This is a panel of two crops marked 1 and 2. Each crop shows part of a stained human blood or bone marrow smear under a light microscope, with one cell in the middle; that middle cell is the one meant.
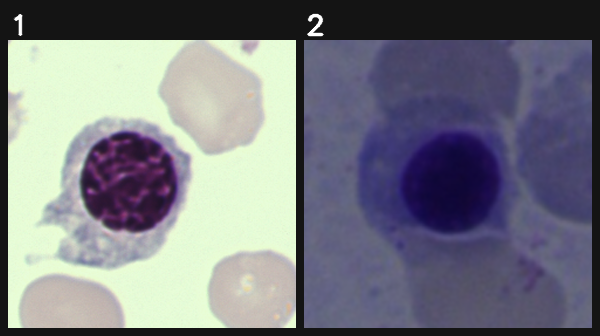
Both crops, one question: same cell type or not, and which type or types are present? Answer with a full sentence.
Yes, in both crops, normoblasts are the cells at the middle.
